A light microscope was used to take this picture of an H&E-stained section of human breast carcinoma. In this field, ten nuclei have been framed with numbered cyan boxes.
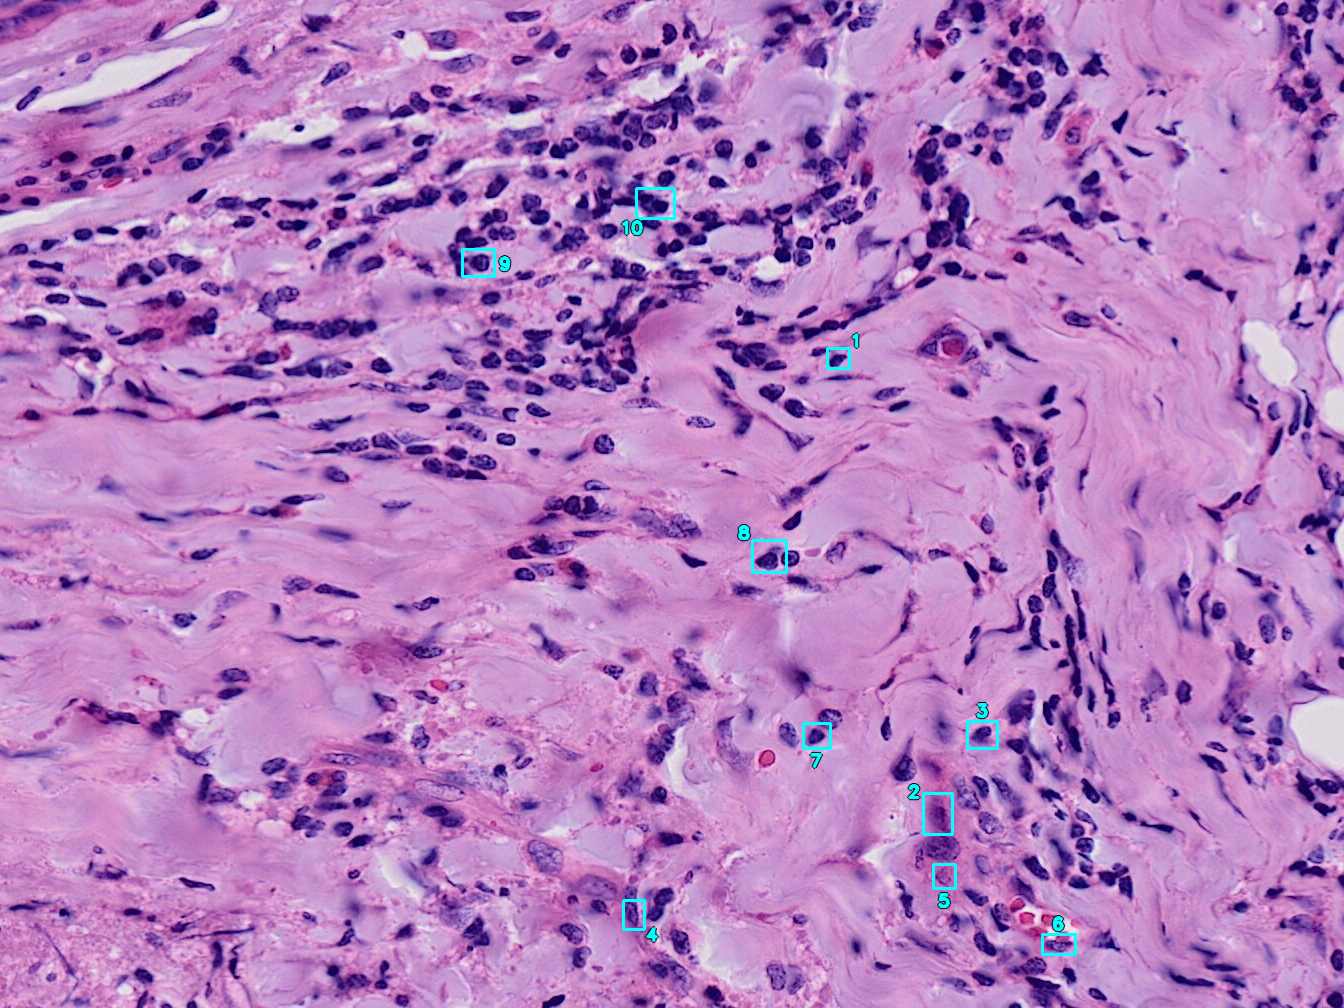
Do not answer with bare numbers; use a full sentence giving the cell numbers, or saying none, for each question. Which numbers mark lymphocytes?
Cells 1, 3, 7, 8, 9 and 10 are of one type, namely lymphocytes.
